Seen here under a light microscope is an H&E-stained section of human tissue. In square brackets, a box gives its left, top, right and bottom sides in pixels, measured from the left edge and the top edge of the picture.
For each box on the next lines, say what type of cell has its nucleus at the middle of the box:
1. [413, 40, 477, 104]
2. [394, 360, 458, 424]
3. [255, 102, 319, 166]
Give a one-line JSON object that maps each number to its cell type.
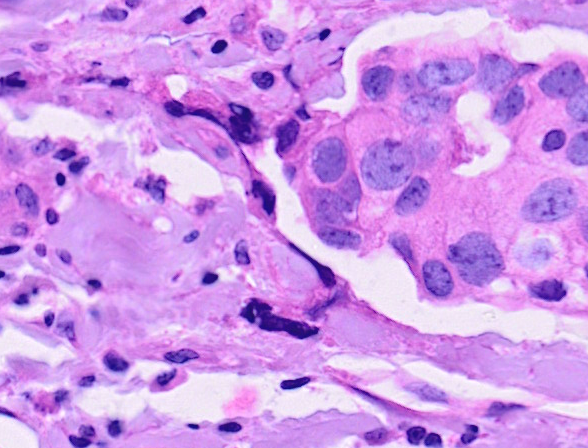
{"1": "carcinoma cell", "2": "fibroblast", "3": "carcinoma cell"}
